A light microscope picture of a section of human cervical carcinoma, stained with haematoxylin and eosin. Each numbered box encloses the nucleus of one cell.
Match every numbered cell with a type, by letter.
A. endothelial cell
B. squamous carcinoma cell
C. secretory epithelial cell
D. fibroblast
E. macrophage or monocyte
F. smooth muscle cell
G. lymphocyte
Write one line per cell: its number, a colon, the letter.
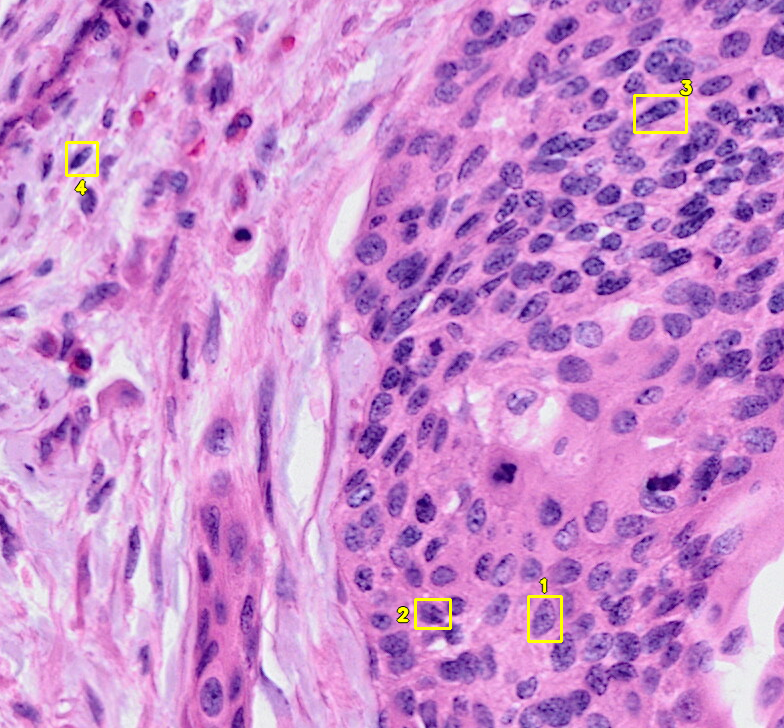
1: B
2: B
3: B
4: G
